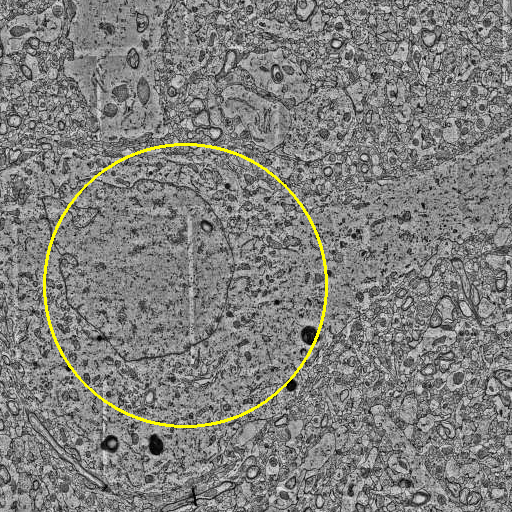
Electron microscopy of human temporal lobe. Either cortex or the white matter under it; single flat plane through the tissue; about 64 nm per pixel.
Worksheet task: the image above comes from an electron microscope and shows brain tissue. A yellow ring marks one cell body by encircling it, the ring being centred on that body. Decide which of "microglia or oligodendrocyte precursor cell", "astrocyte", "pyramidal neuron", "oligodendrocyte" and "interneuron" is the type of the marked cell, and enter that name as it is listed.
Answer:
pyramidal neuron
